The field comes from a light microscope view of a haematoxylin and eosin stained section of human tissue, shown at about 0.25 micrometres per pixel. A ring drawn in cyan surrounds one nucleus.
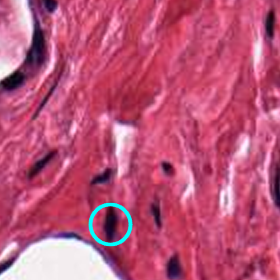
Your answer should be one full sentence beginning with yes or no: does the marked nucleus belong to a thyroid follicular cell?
No, the marked nucleus resides in a supporting cell, not in a thyroid follicular cell.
